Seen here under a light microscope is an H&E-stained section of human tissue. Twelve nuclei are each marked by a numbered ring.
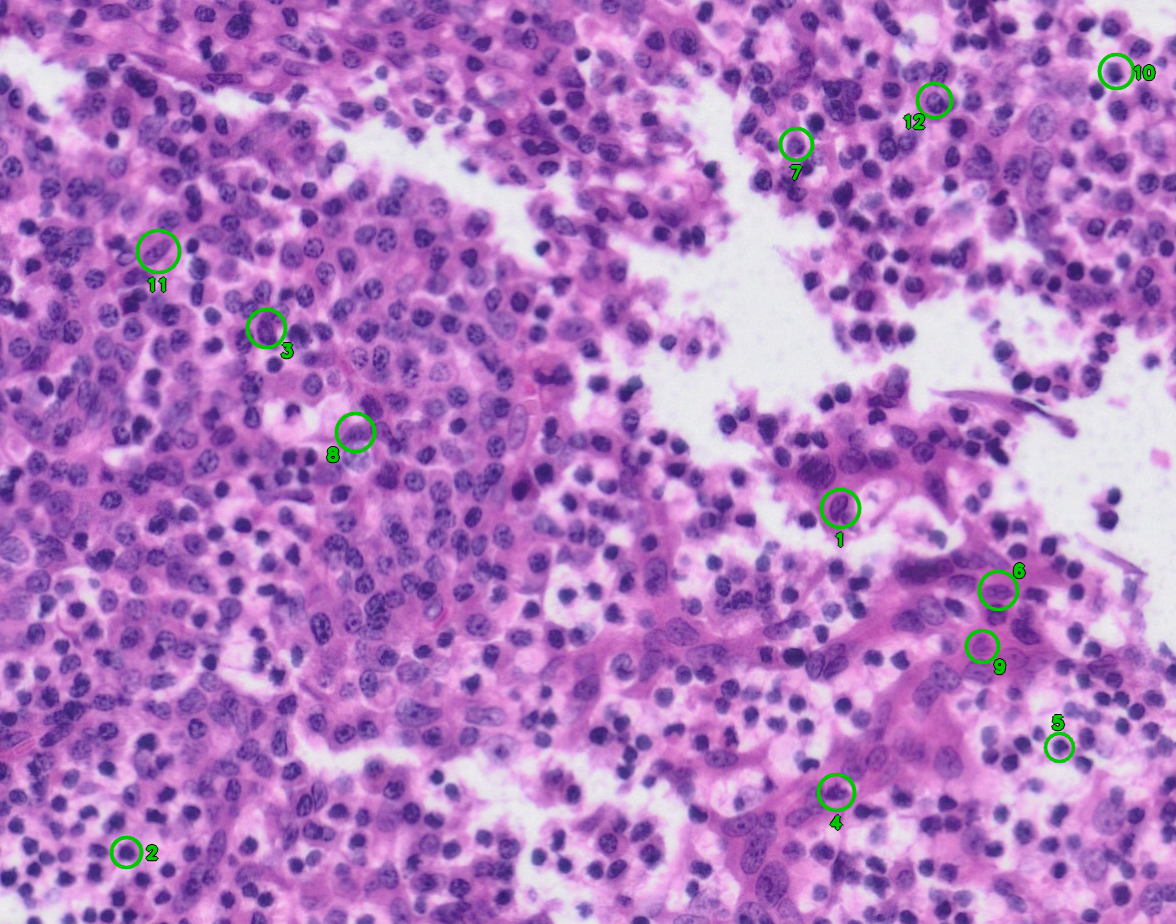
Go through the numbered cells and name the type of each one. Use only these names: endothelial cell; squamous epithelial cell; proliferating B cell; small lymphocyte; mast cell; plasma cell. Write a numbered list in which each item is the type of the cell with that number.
1. squamous epithelial cell
2. plasma cell
3. squamous epithelial cell
4. squamous epithelial cell
5. small lymphocyte
6. squamous epithelial cell
7. plasma cell
8. squamous epithelial cell
9. squamous epithelial cell
10. plasma cell
11. squamous epithelial cell
12. plasma cell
